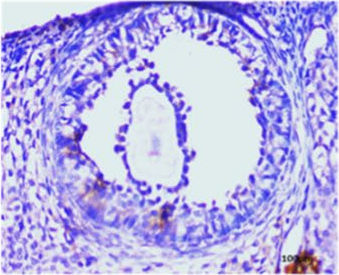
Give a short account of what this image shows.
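The view shows ovarian tissue centred on a single round follicle. A clear central cavity holds a pale, irregular structure with a thin cellular rim. Brown staining is patchy and lies mainly in a cluster of cells in the lower part of the cellular lining. A small brown patch is also seen at the lower right corner. Most of the remaining cells are counterstained blue only.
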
